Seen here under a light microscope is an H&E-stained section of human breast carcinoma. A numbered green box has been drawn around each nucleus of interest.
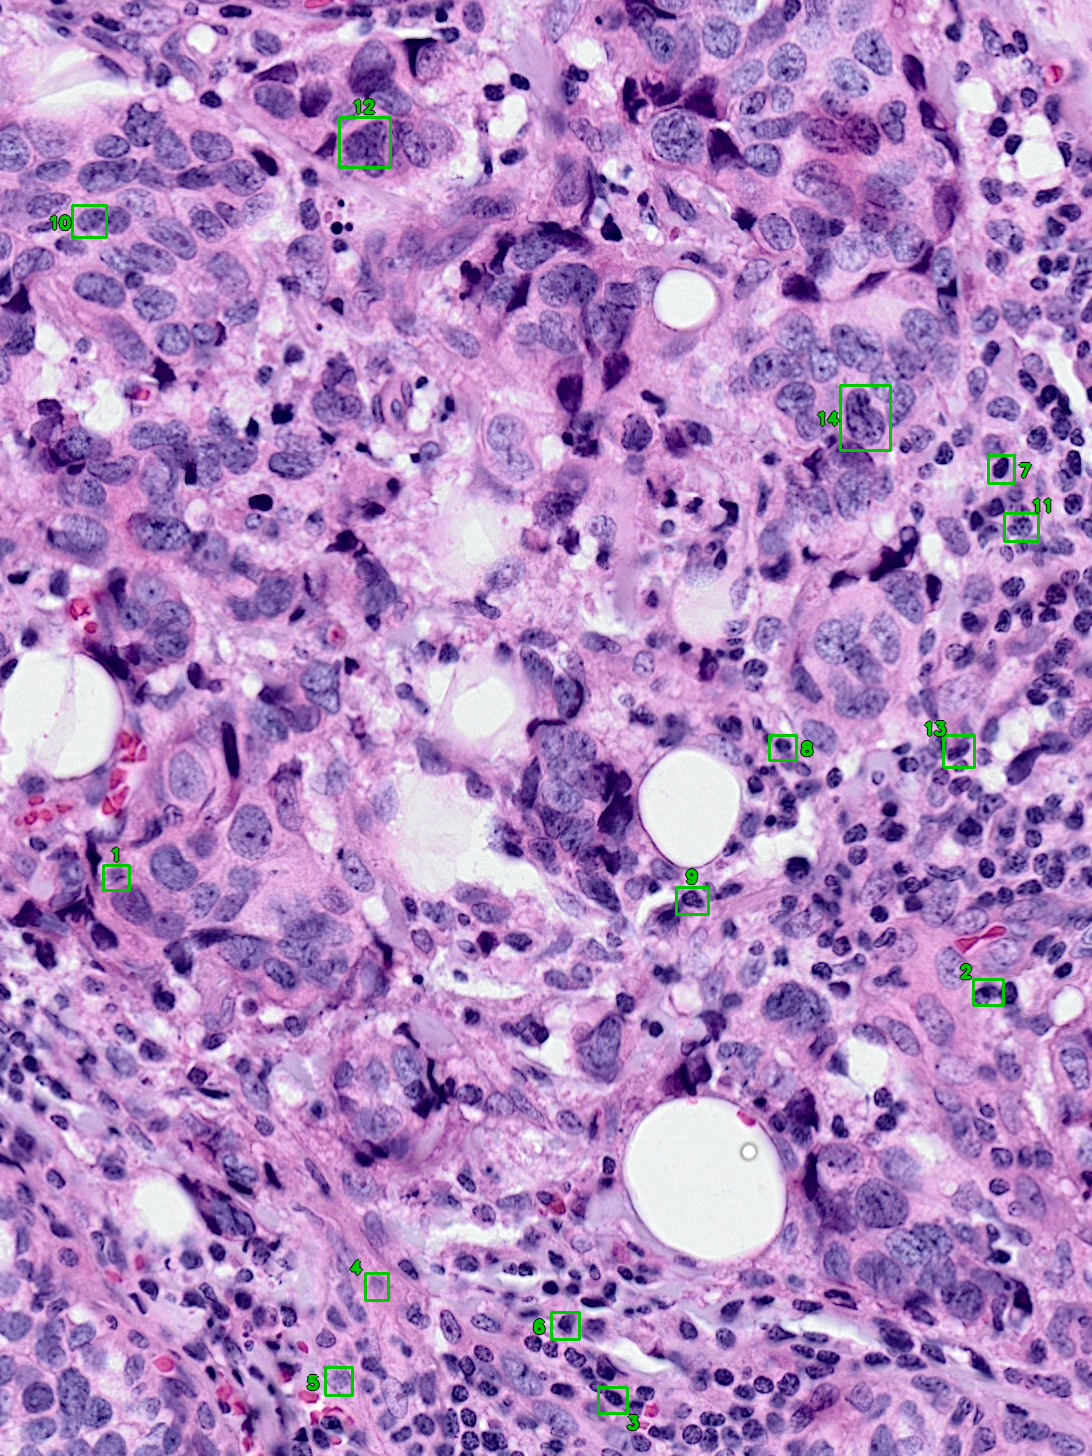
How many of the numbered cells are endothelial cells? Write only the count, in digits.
2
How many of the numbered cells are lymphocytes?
8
